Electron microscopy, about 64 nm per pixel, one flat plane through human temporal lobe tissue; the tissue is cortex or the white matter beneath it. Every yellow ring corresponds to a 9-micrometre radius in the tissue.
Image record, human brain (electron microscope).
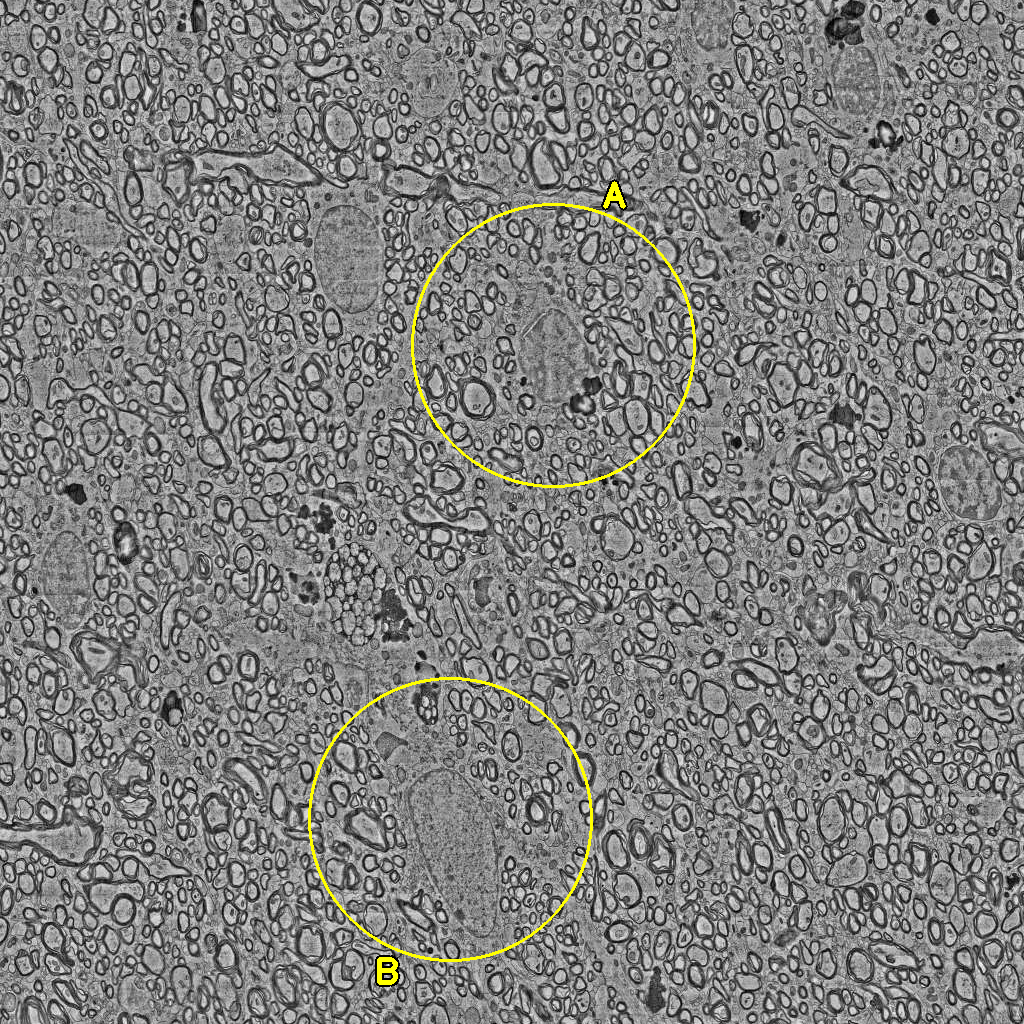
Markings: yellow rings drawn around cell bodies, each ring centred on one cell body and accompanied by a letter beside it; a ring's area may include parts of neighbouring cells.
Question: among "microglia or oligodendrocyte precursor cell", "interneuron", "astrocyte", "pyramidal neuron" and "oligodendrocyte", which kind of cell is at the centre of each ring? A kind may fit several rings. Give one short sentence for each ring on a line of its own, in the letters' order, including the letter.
Ring A is centred on the cell body of an oligodendrocyte.
Ring B is centred on the cell body of an astrocyte.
